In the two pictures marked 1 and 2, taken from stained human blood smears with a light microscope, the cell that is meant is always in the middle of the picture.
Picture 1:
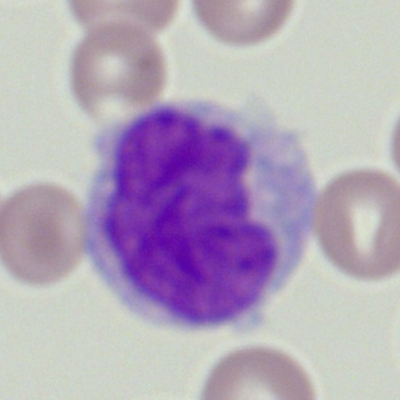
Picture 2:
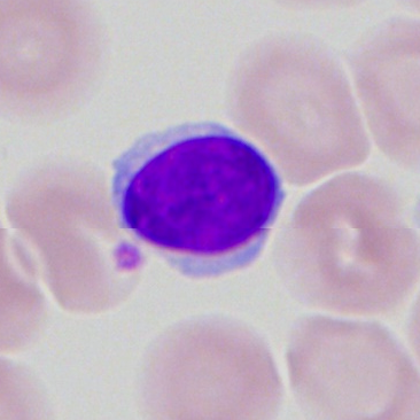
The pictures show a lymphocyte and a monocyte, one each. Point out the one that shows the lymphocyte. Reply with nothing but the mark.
2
